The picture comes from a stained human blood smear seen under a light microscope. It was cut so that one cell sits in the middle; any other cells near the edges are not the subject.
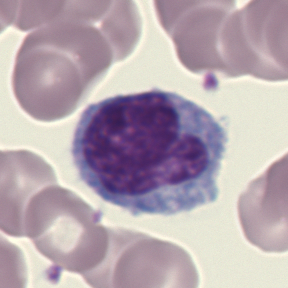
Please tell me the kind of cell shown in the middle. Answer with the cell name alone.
monocyte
